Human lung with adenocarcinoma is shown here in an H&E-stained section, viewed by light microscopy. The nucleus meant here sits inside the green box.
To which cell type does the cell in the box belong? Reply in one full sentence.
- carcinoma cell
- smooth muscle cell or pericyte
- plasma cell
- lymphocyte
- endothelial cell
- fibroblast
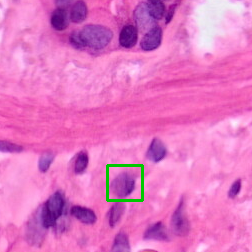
It is a fibroblast that the cell in the box represents.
